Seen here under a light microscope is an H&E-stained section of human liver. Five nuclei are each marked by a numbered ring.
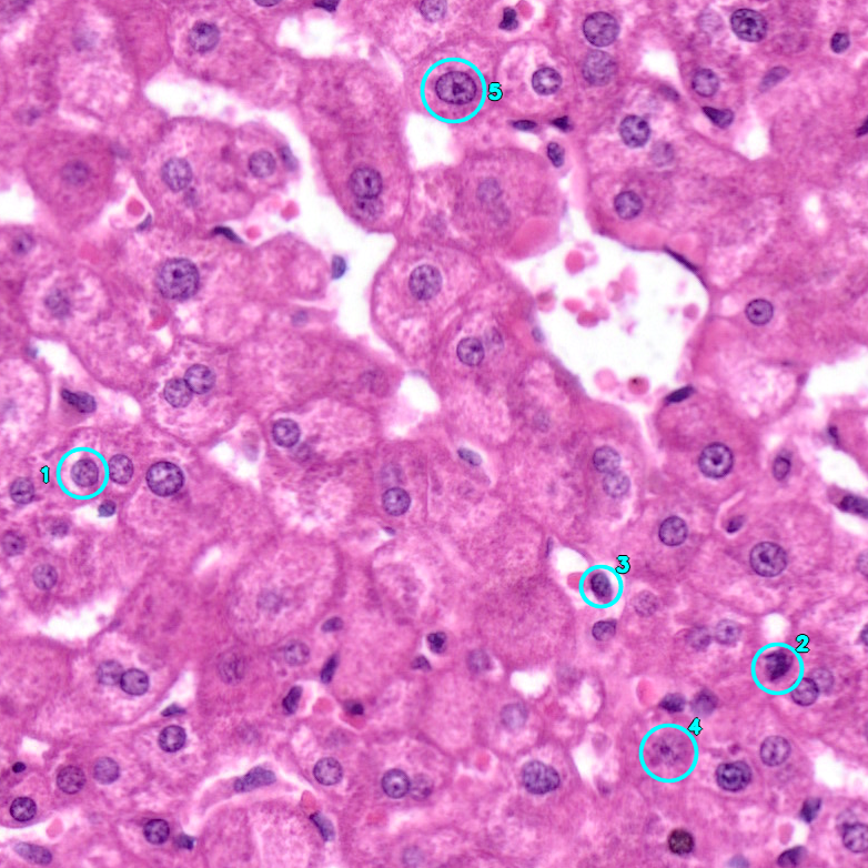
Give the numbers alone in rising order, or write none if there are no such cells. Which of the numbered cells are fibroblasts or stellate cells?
2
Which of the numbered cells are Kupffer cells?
3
